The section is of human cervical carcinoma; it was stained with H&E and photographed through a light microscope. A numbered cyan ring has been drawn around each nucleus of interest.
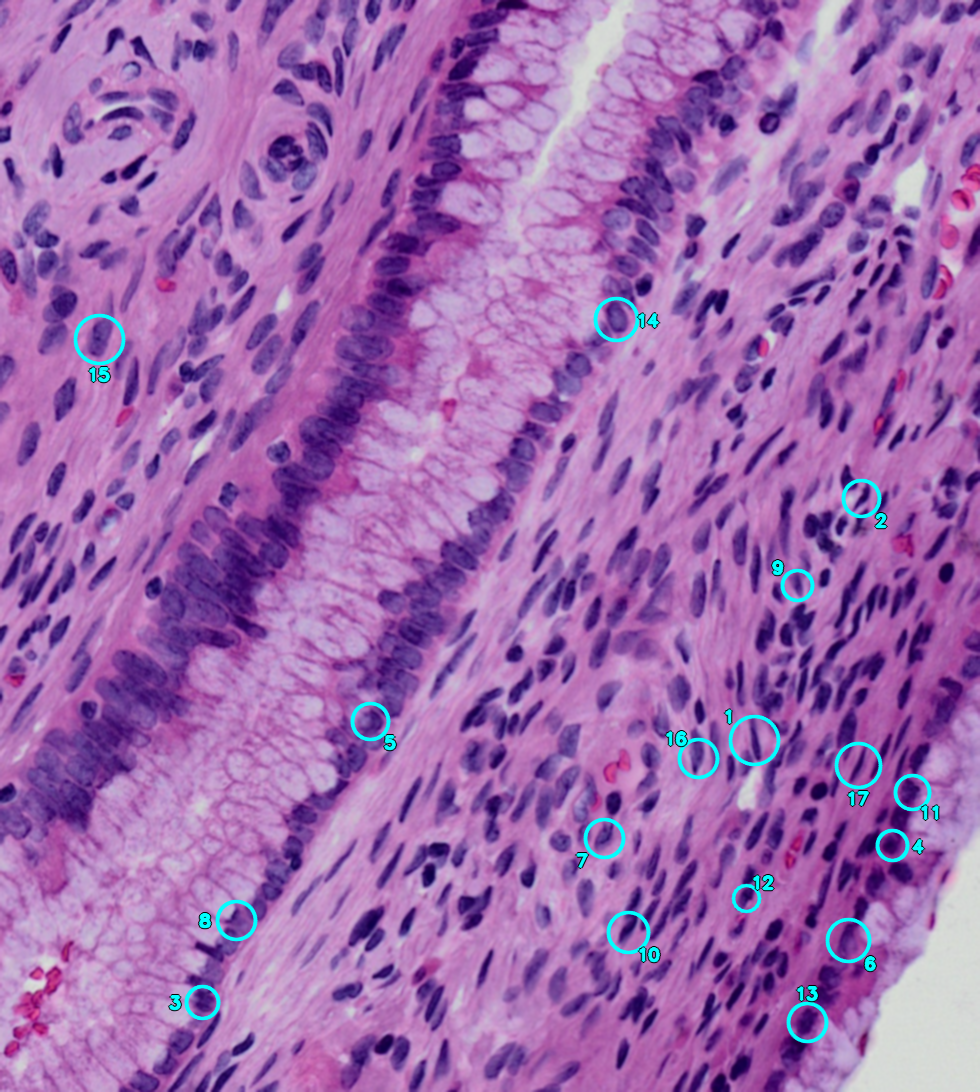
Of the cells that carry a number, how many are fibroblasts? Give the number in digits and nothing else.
7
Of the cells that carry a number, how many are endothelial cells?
2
